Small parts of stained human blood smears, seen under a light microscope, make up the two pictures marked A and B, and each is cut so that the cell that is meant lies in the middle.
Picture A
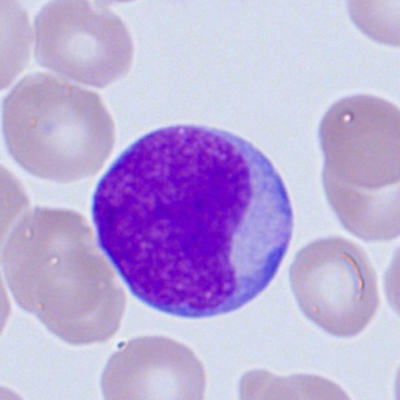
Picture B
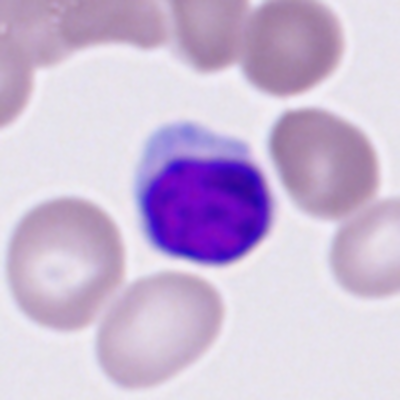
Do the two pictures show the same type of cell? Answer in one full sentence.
No. Picture A shows a myeloblast, but picture B shows a lymphocyte.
